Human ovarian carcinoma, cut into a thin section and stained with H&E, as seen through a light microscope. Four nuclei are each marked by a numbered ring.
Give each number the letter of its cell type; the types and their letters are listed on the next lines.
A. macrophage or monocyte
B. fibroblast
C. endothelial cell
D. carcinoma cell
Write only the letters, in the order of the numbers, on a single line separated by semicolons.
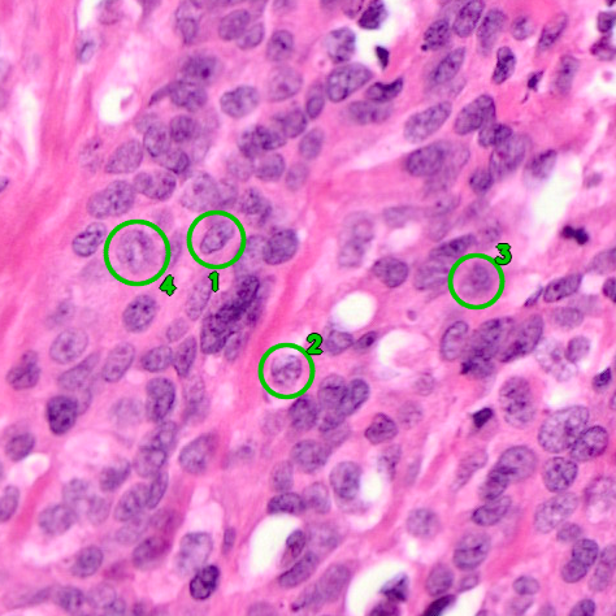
D; A; D; D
